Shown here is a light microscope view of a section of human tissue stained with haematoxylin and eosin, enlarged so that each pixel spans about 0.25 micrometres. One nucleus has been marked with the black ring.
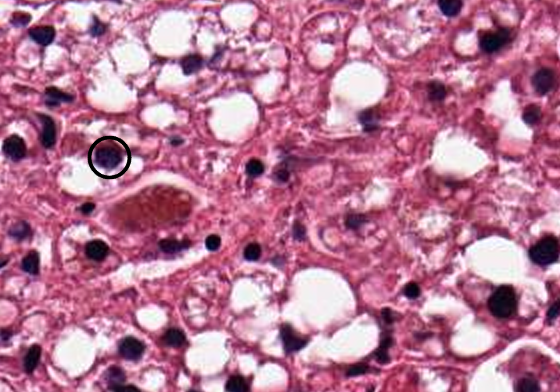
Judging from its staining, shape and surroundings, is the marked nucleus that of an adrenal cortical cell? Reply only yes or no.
yes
